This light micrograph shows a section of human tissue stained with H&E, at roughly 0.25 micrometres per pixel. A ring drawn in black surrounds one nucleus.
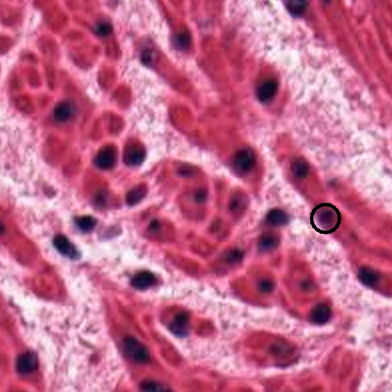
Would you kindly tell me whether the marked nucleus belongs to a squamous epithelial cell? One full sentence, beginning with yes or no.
No, the marked nucleus does not lie within a squamous epithelial cell.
